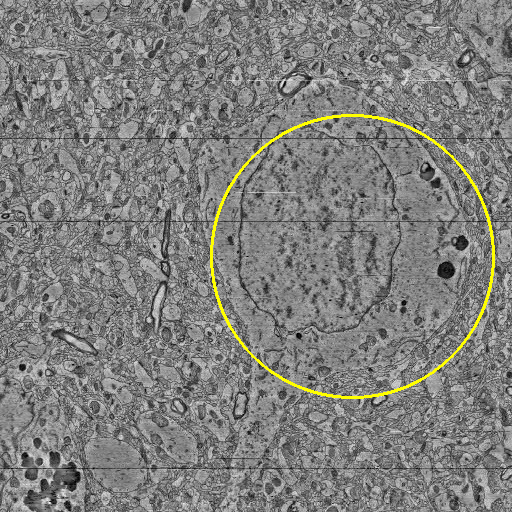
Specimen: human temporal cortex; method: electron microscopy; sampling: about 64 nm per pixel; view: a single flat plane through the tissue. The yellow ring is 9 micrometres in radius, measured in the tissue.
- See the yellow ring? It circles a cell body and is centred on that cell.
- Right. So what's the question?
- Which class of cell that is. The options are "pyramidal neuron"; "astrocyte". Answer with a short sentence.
The centre of the ring holds a pyramidal neuron.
